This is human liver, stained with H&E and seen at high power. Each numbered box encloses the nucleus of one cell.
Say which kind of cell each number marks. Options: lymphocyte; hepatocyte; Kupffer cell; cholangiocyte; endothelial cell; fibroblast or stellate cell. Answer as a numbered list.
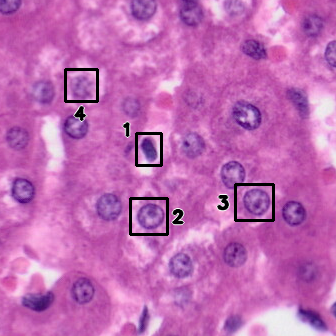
1. lymphocyte
2. hepatocyte
3. hepatocyte
4. hepatocyte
